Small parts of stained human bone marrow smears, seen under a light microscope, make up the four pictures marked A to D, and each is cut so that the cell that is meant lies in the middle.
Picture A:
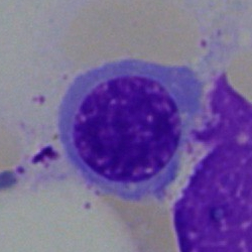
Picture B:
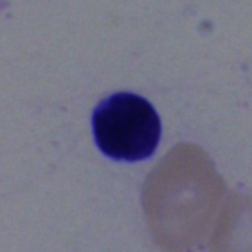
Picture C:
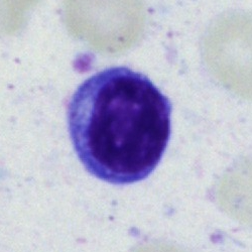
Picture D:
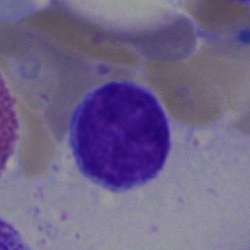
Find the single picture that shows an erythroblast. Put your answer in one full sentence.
The picture with the erythroblast is A.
